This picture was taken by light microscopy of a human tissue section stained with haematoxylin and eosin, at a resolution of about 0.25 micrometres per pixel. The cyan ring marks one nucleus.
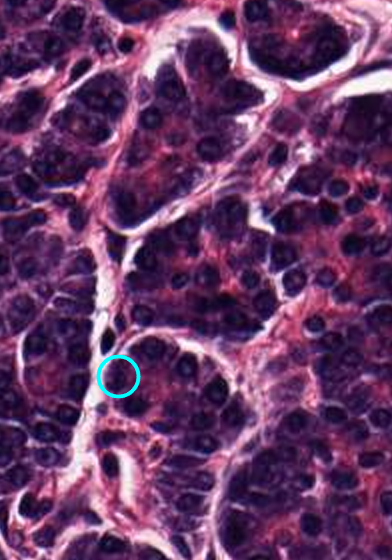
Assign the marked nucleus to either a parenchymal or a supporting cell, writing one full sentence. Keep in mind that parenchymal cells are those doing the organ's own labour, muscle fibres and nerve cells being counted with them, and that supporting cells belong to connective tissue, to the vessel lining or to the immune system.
A parenchymal cell holds the marked nucleus, and that cell is a pancreatic acinar cell.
